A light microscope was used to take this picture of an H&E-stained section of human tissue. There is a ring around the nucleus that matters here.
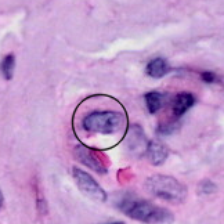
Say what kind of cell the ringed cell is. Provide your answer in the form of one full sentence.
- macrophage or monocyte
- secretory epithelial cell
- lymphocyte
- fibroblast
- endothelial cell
The cell type of the ringed cell is that of an endothelial cell.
